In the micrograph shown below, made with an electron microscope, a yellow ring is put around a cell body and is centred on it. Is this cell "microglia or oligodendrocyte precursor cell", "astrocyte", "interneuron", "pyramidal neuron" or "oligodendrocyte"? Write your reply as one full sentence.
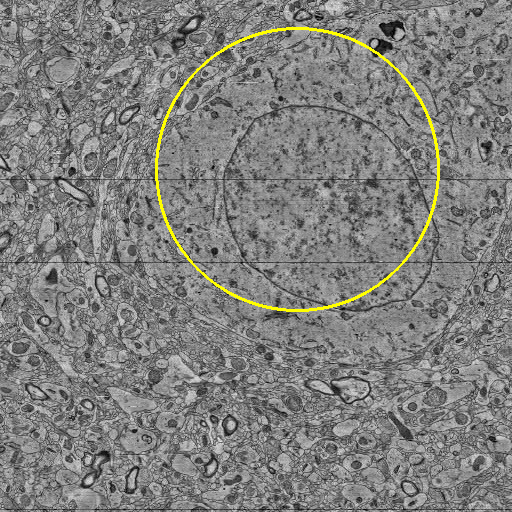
In the micrograph, a pyramidal neuron is the cell at the centre of the yellow ring.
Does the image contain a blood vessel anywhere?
No, no blood vessel can be seen.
